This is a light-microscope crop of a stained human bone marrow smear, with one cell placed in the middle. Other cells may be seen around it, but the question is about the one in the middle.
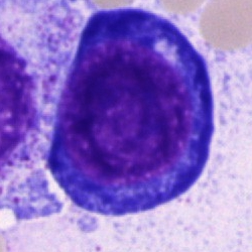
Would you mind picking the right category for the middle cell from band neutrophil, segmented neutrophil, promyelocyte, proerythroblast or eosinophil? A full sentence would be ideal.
The cell at the heart of this crop is a proerythroblast.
